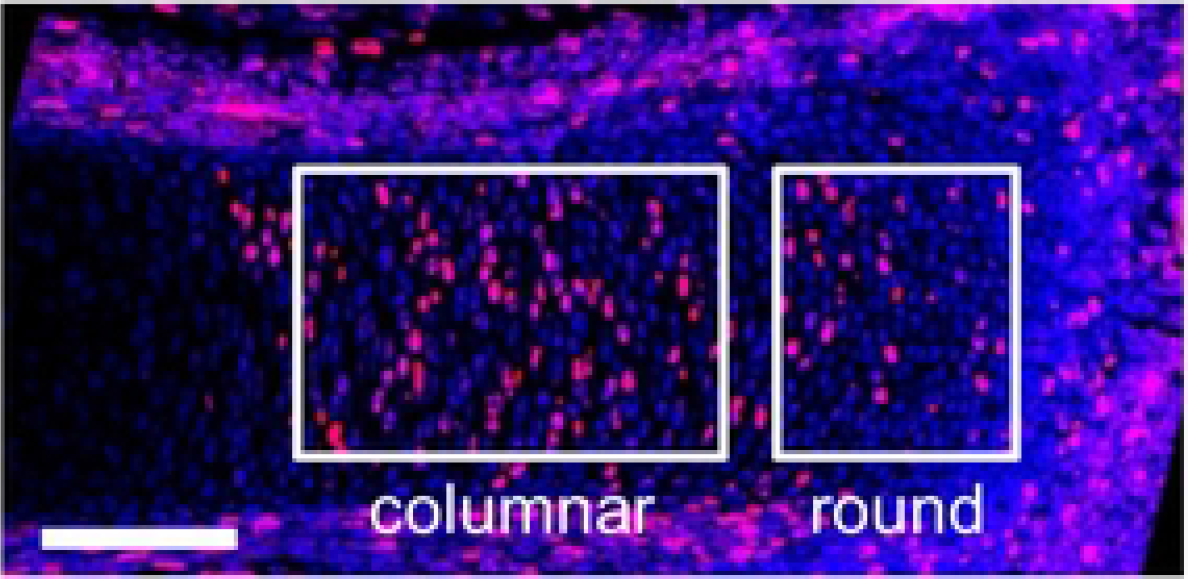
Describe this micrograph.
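Scattered nuclei throughout the cartilage are pink-red, standing out against the many blue nuclei. Pink-red nuclei appear frequent within the left box and somewhat sparser within the right box. Along the top edge a band of tissue outside the cartilage also contains many pink-red nuclei.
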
